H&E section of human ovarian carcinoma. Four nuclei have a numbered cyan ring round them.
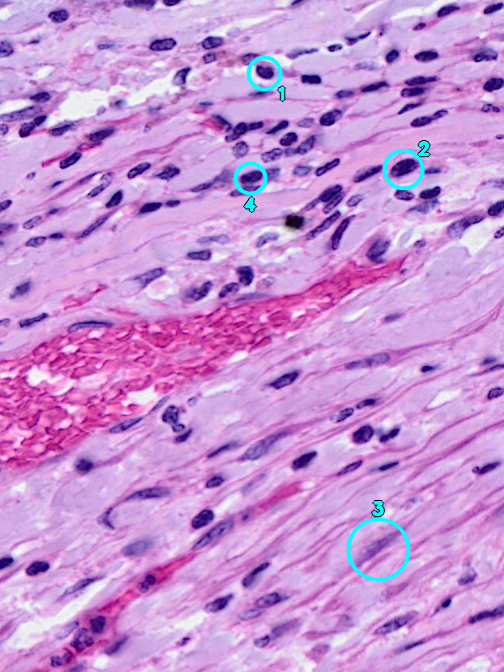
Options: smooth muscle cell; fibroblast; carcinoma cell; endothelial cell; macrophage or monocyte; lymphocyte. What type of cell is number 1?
lymphocyte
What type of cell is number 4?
lymphocyte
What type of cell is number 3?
fibroblast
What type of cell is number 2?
lymphocyte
